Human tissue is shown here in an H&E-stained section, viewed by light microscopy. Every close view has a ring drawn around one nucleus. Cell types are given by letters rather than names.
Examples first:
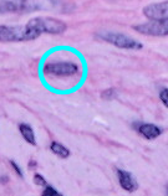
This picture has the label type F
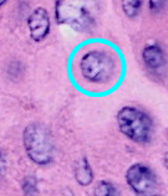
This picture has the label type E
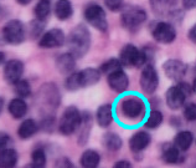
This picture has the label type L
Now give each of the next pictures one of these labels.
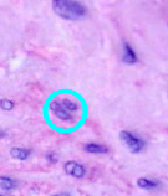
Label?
type F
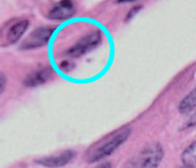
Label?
type E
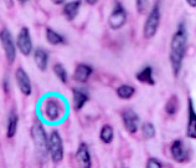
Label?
type F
